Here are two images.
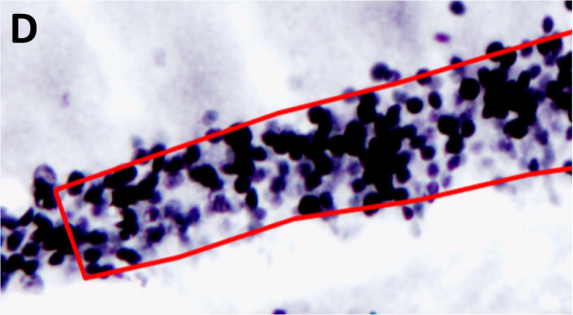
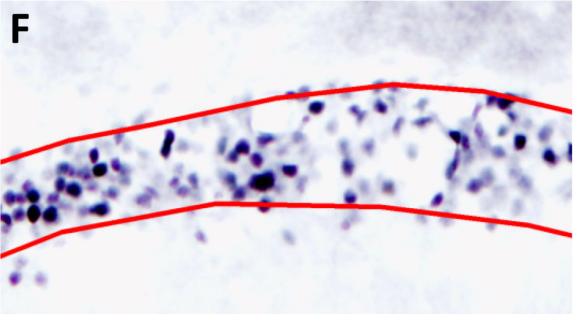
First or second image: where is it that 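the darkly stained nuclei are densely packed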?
The first image.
